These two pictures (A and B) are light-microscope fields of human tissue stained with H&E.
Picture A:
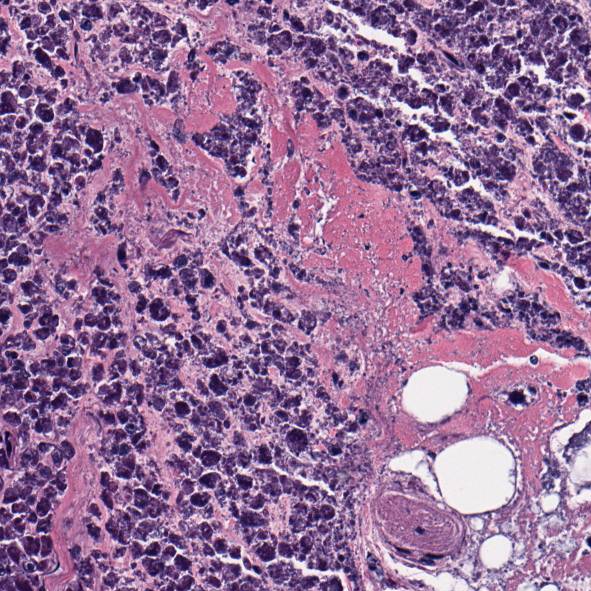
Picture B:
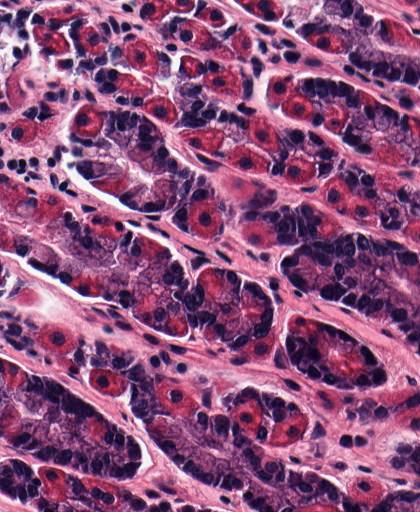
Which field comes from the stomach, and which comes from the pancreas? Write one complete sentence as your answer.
Picture A comes from the pancreas and picture B comes from the stomach.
